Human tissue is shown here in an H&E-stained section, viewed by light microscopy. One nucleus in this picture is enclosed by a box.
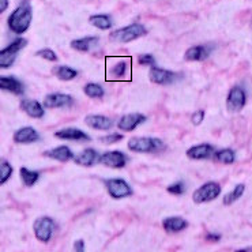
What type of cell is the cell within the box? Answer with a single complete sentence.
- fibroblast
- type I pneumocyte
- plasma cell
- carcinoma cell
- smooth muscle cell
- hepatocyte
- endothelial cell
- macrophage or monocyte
In the tissue at hand, the cell within the box is a smooth muscle cell.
